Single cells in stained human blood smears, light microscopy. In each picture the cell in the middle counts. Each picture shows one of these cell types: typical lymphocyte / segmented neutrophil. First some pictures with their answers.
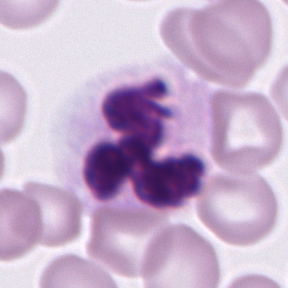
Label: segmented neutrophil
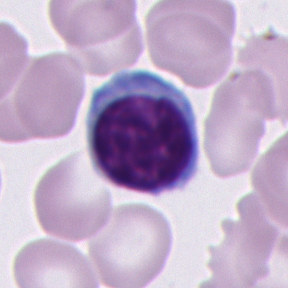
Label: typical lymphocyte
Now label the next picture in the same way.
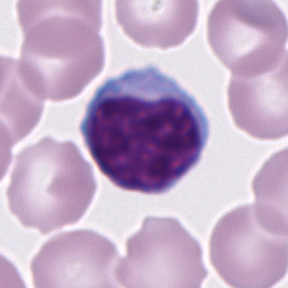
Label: typical lymphocyte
